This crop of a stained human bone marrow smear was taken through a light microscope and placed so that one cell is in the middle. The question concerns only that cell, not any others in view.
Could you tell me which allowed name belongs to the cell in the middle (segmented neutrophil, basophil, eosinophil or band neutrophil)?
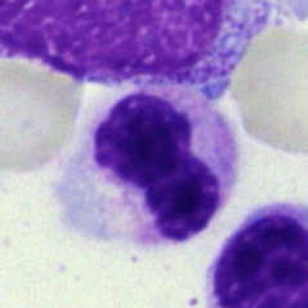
band neutrophil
